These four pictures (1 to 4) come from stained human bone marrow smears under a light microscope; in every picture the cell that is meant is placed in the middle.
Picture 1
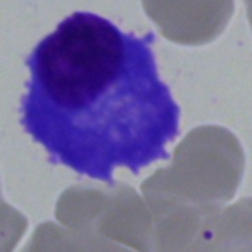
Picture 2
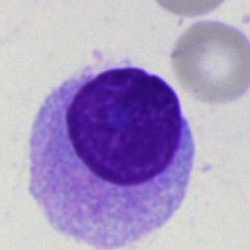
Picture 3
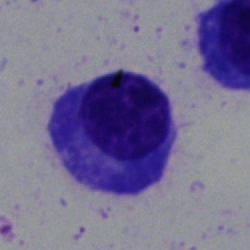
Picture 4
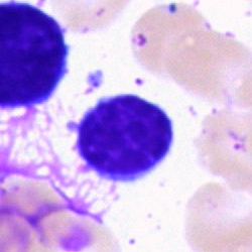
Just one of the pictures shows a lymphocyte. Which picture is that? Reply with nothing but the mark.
4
